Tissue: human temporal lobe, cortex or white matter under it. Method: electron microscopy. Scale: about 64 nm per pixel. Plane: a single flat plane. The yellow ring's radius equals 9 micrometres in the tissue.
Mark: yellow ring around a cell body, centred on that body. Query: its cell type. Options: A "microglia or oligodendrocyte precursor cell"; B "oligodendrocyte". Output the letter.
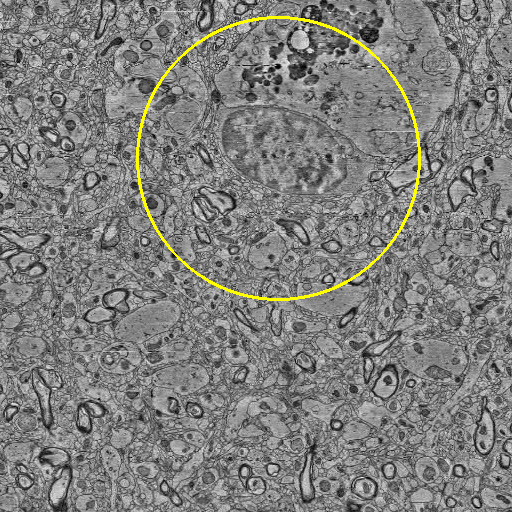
B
